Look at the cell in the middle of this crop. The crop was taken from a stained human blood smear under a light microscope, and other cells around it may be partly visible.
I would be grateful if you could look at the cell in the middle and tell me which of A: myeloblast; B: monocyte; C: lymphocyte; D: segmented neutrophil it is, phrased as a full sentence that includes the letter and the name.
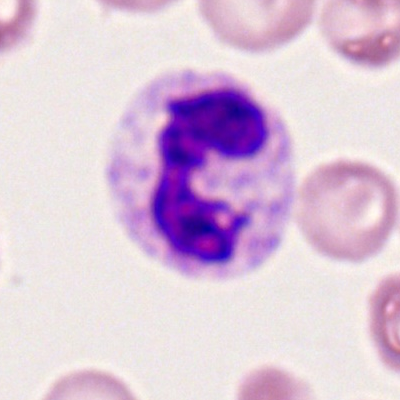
The cell at the centre, correctly named in option D, is a segmented neutrophil.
